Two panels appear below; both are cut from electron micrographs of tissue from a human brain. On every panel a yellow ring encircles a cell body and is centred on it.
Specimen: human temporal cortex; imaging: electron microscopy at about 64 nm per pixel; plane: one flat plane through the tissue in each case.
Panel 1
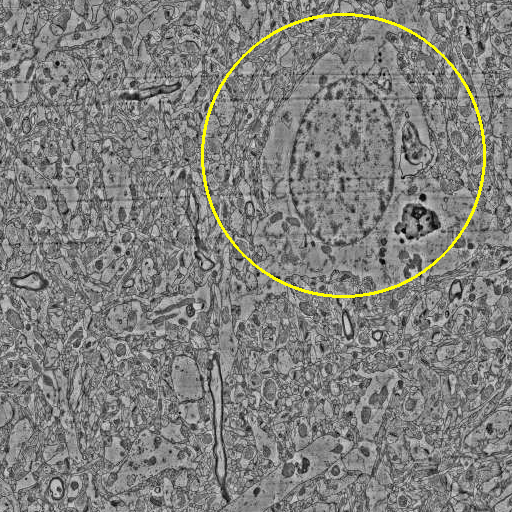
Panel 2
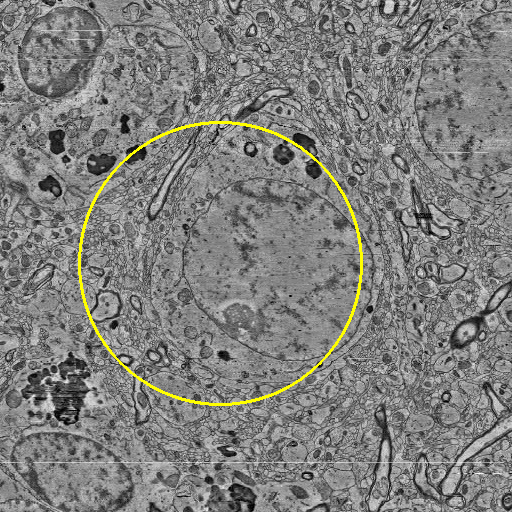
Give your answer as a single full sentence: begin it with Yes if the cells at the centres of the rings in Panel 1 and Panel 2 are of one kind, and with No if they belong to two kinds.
No, the cells in the middle of the rings in Panels 1 and 2 are of two kinds.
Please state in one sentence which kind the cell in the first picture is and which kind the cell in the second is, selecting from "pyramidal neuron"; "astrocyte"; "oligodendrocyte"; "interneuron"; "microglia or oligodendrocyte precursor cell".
The first ringed cell is an astrocyte, the second ringed cell a pyramidal neuron.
